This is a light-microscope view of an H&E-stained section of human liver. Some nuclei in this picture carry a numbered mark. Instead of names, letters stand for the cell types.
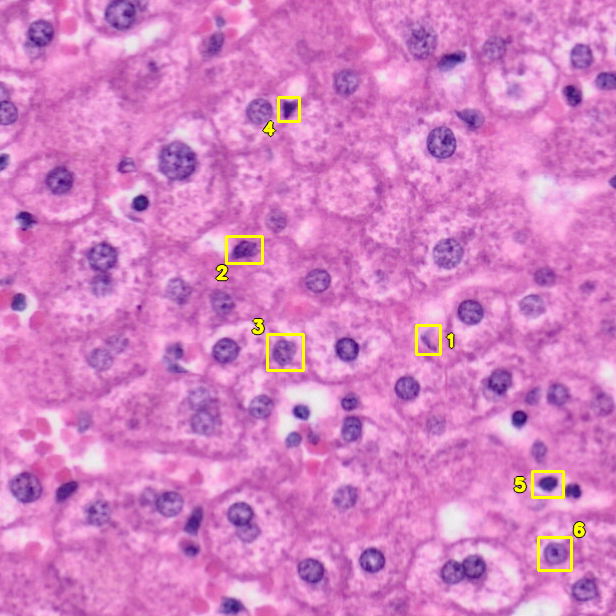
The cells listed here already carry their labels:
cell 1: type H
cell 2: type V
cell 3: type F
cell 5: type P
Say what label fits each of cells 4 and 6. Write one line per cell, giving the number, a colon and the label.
4: type V
6: type F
